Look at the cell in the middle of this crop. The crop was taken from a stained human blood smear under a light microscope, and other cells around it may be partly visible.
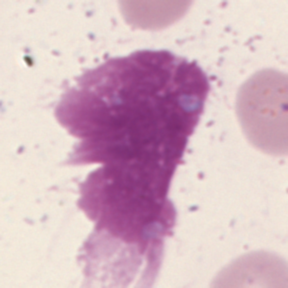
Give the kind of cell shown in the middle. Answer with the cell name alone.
smudge cell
